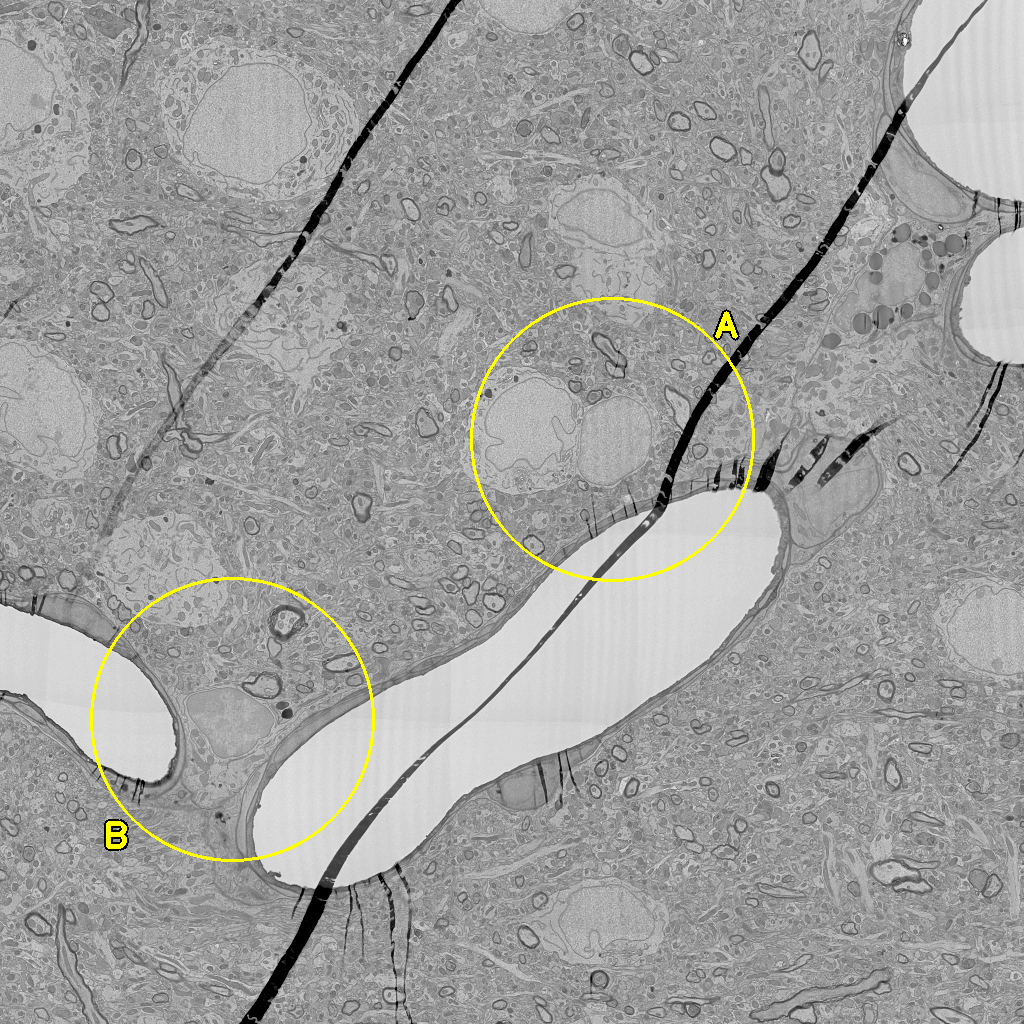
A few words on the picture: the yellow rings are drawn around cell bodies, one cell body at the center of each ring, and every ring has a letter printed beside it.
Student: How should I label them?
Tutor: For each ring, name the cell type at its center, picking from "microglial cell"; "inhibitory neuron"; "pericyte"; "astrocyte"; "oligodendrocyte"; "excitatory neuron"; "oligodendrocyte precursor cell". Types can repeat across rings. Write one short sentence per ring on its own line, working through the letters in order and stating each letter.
In ring A, the central cell is an astrocyte.
In ring B, the central cell is a microglial cell.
